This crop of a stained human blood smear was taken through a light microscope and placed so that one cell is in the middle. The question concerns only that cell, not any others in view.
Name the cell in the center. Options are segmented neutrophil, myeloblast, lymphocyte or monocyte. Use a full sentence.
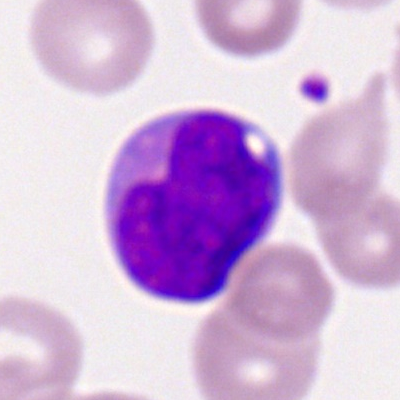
The centrally positioned cell in the crop represents a myeloblast.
